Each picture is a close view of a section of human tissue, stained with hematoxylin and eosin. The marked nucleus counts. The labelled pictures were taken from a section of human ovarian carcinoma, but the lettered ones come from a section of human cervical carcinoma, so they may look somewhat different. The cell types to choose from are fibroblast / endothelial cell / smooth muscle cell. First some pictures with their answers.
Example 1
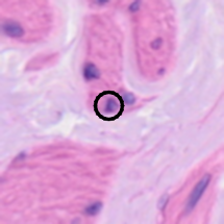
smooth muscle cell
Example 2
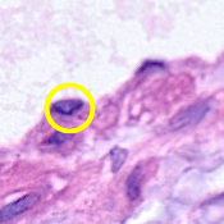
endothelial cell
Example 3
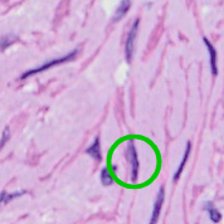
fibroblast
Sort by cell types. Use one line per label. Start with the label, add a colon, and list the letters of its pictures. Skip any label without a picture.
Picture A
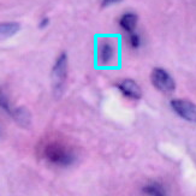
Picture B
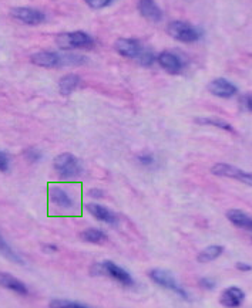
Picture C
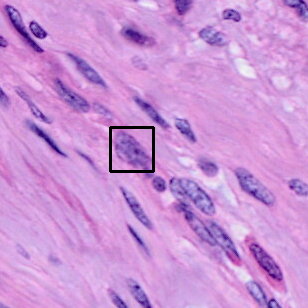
fibroblast: A
endothelial cell: C
smooth muscle cell: B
